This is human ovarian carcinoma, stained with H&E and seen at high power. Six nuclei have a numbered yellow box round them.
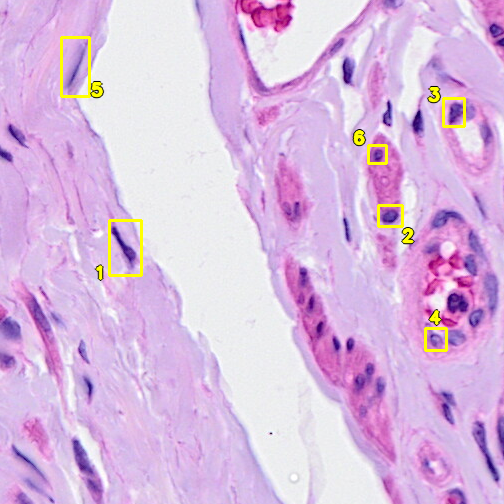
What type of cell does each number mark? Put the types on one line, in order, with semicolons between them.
fibroblast; smooth muscle cell; endothelial cell; endothelial cell; fibroblast; smooth muscle cell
